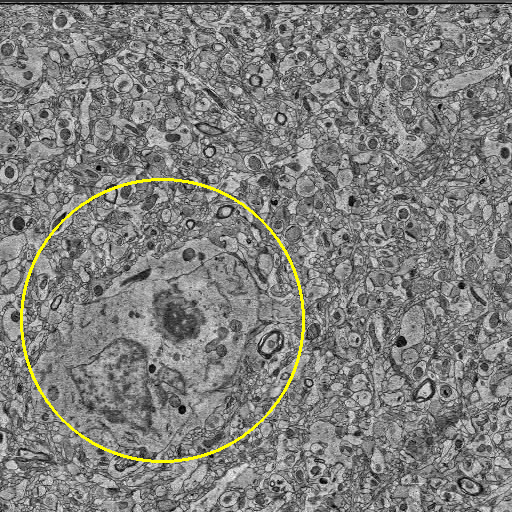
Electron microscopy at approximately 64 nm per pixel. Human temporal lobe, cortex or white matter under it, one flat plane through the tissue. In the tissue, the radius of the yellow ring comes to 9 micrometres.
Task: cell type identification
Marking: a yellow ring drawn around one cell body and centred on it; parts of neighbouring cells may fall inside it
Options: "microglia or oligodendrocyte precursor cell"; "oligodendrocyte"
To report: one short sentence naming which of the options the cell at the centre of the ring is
The cell at the centre of the ring is an oligodendrocyte.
